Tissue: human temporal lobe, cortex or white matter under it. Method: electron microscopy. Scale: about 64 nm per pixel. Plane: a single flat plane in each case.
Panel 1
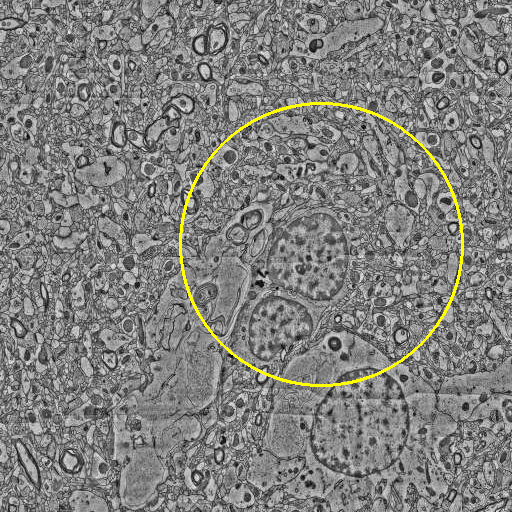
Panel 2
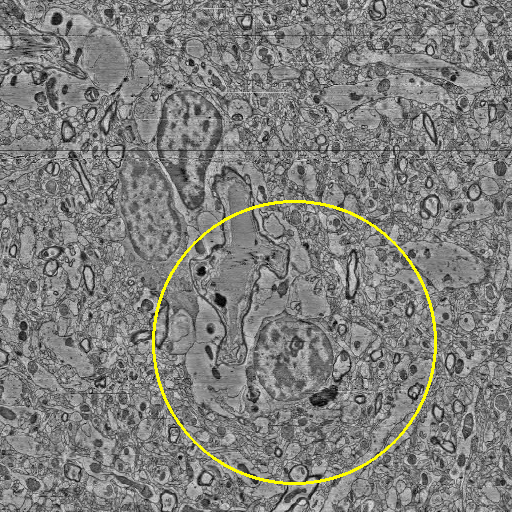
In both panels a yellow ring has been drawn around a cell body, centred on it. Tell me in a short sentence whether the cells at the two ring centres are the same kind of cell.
Yes, they are the same kind of cell.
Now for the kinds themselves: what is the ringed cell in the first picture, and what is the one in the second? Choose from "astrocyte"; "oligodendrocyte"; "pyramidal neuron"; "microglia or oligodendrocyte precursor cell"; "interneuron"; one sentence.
The cell in the first picture is an oligodendrocyte, and so is the one in the second.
